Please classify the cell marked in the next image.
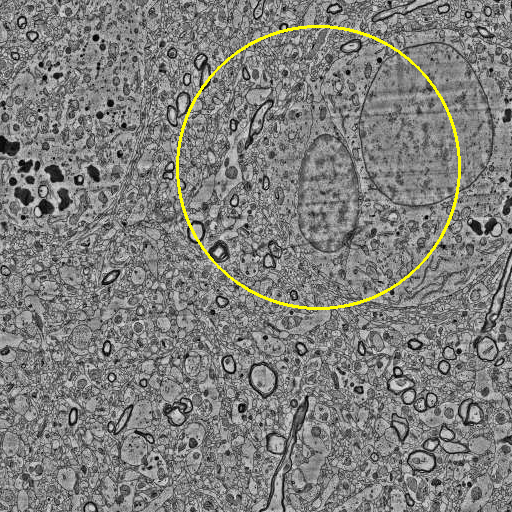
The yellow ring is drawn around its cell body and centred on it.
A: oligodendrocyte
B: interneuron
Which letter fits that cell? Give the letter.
A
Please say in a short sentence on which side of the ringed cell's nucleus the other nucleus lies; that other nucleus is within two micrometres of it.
The second nucleus lies to the upper right of it.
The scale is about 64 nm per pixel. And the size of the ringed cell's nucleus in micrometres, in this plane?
In this plane the nucleus measures roughly 7 by 4 micrometers.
